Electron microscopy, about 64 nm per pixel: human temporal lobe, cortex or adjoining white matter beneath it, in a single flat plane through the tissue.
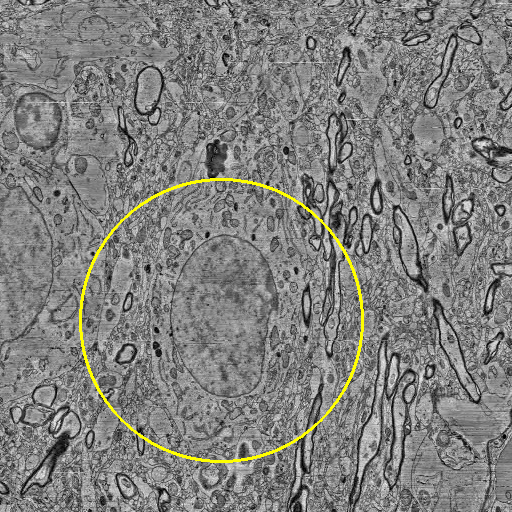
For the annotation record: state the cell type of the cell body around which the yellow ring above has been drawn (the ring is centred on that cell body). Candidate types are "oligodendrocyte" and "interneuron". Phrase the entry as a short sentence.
The ringed cell is an interneuron.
